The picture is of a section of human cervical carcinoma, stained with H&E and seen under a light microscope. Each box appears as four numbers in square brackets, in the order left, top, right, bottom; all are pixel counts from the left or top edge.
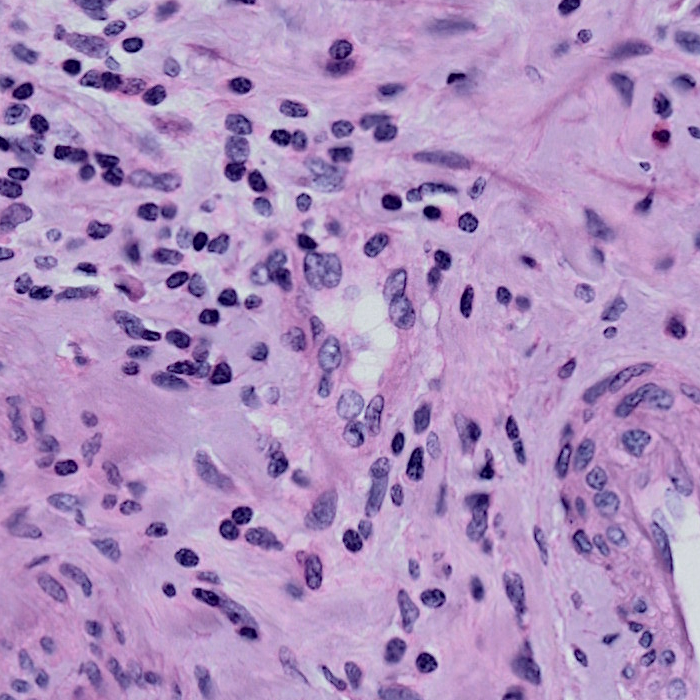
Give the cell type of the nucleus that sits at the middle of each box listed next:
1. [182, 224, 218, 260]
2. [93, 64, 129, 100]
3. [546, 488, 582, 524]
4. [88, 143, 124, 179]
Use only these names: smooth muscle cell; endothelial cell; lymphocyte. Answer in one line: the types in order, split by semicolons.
lymphocyte; lymphocyte; smooth muscle cell; lymphocyte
